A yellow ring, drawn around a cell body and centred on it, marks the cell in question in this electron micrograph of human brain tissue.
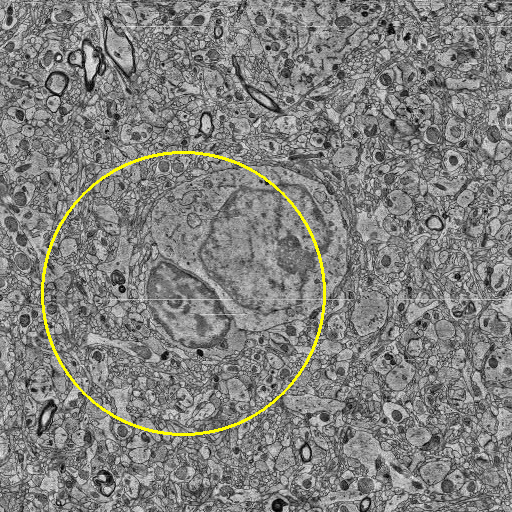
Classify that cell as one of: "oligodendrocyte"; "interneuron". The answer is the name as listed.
oligodendrocyte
